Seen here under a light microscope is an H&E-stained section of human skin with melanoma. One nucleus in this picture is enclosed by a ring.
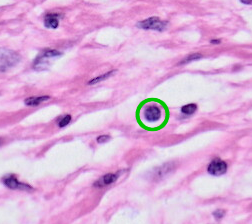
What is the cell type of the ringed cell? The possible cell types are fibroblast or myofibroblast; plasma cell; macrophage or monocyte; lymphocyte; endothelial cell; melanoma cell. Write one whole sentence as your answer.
Recorded by type, the ringed cell is a lymphocyte.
